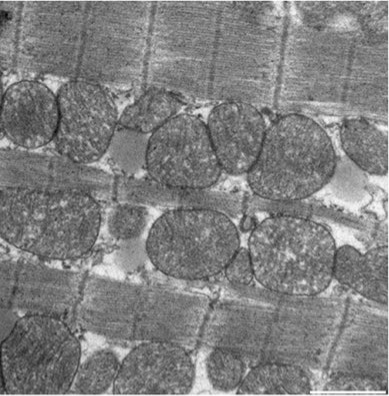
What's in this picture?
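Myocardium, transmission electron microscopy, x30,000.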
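Bands of myofibrils with regular cross-striations run across the field, and between them lie rows of rounded mitochondria packed with dense cristae. The mitochondria sit closely side by side in the spaces between the myofibrils. No membrane-bound vacuoles with dense or whorled content are seen. This is cardiac muscle with orderly sarcomeres and intact interfibrillar mitochondria.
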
